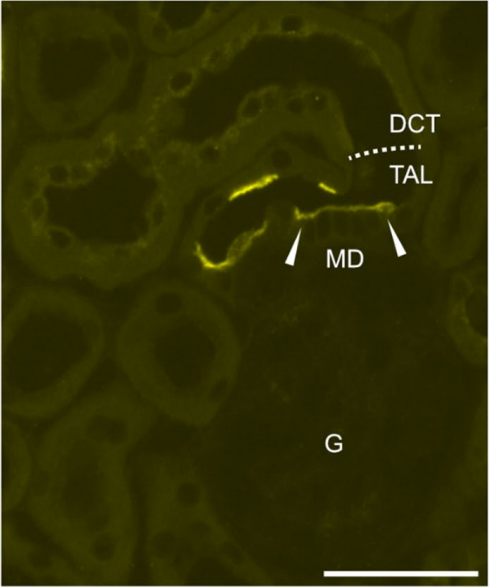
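Kidney cortex with a tubule segment lying against a glomerulus, whose wall facing the glomerulus forms a short plaque of closely packed cells between the arrowheads. A thin, bright yellow line runs along the luminal border of this tubule, including along the apical surface of the plaque cells, while the rest of their cytoplasm stays dim. A dotted line marks where this tubule passes into the next segment. Nearby tubules show only faint, diffuse yellow background in their cytoplasm with dark round nuclei. The glomerulus below is a large, round, dimly stained tuft without a bright luminal line.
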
